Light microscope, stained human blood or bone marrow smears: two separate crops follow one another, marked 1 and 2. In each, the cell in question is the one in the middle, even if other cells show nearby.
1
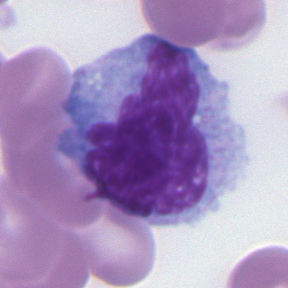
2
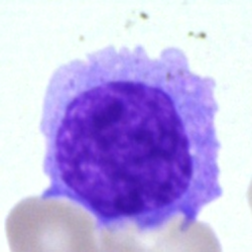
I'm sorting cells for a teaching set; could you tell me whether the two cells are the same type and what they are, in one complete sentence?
Yes, monocytes are what the two crops show.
